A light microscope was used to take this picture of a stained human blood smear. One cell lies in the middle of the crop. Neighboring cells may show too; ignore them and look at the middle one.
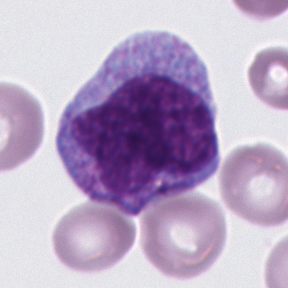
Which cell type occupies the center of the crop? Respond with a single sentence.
The cell in the middle of the field of view is an atypical promyelocyte.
